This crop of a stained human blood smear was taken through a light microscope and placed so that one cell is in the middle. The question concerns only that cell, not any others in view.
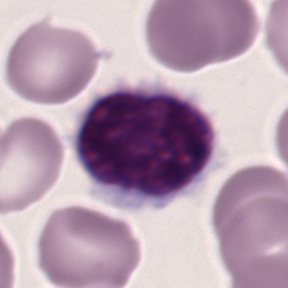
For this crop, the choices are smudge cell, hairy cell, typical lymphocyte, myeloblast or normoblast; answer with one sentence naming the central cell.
The middle of this crop holds a hairy cell.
